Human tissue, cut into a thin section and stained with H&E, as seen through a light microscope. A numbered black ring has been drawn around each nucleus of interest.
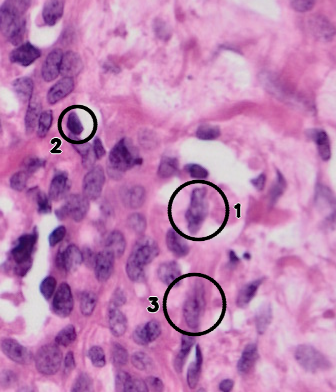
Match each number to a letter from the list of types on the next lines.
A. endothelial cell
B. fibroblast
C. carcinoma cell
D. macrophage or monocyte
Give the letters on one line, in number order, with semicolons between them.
D; C; A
